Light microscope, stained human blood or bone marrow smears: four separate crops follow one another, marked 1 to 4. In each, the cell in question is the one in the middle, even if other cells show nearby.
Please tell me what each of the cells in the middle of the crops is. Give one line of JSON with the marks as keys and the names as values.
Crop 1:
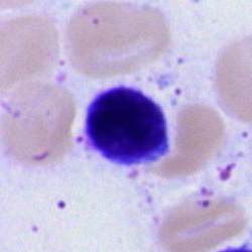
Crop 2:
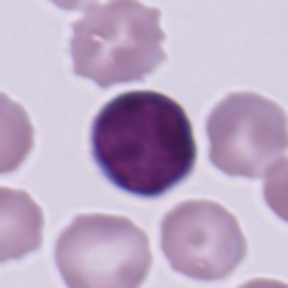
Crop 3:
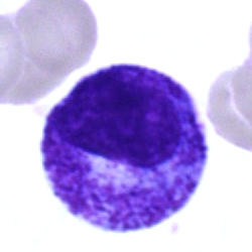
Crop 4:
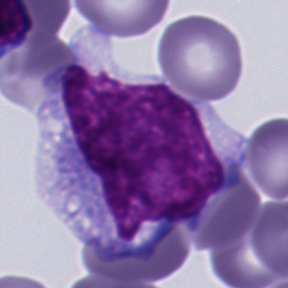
{"1": "lymphocyte", "2": "lymphocyte", "3": "promyelocyte", "4": "monocyte"}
